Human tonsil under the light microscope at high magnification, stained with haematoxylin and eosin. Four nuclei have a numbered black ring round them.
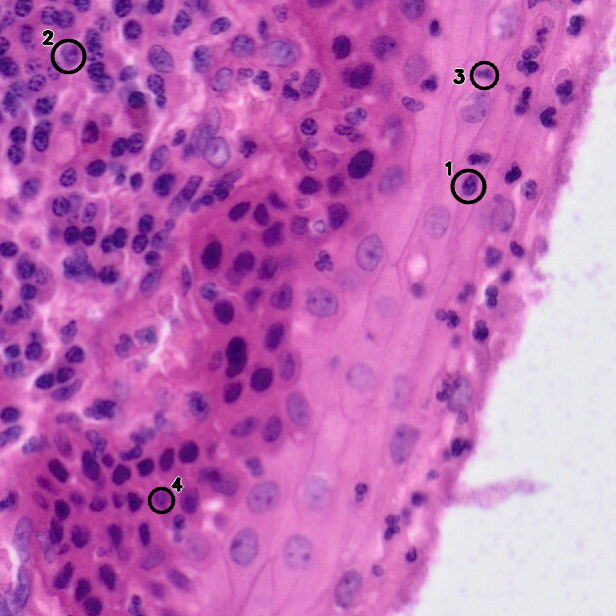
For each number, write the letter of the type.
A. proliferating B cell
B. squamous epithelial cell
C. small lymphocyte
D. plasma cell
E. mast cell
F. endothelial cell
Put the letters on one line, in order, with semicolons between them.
B; D; B; B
